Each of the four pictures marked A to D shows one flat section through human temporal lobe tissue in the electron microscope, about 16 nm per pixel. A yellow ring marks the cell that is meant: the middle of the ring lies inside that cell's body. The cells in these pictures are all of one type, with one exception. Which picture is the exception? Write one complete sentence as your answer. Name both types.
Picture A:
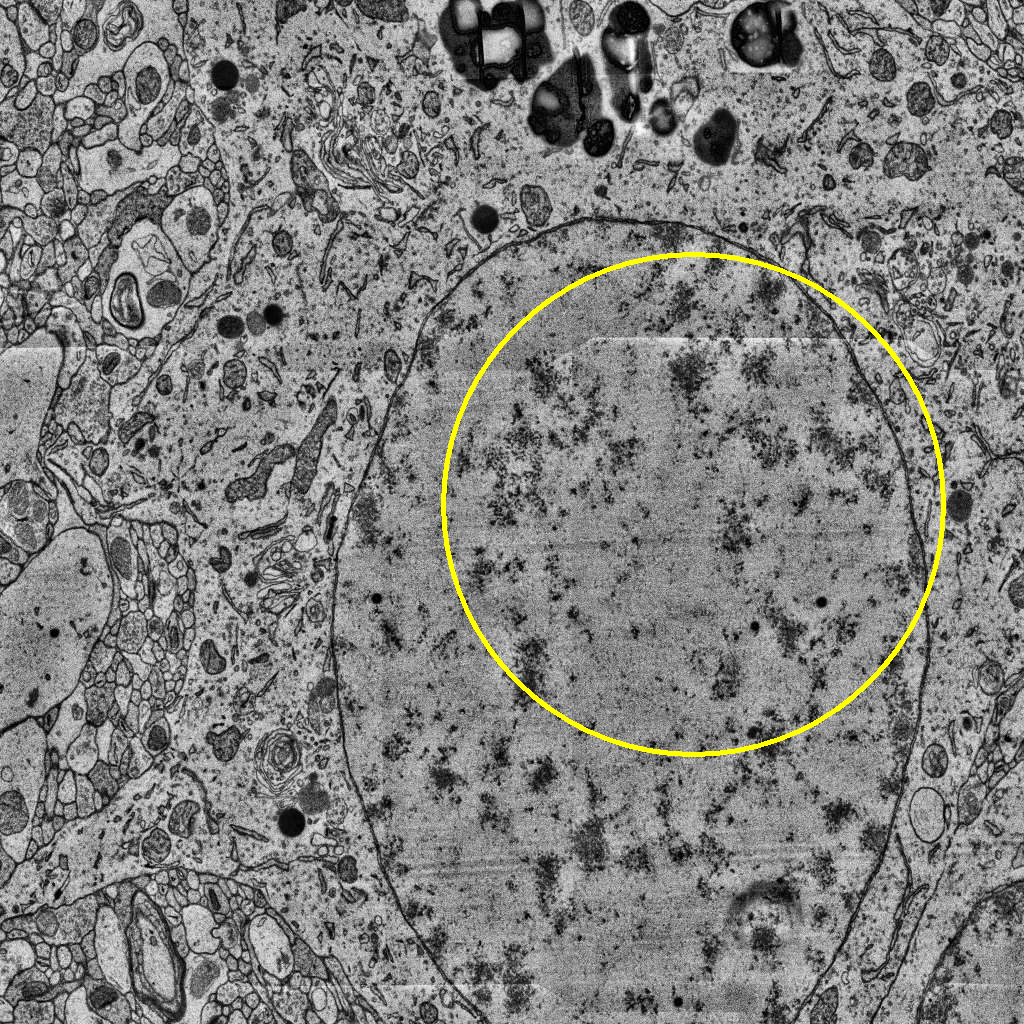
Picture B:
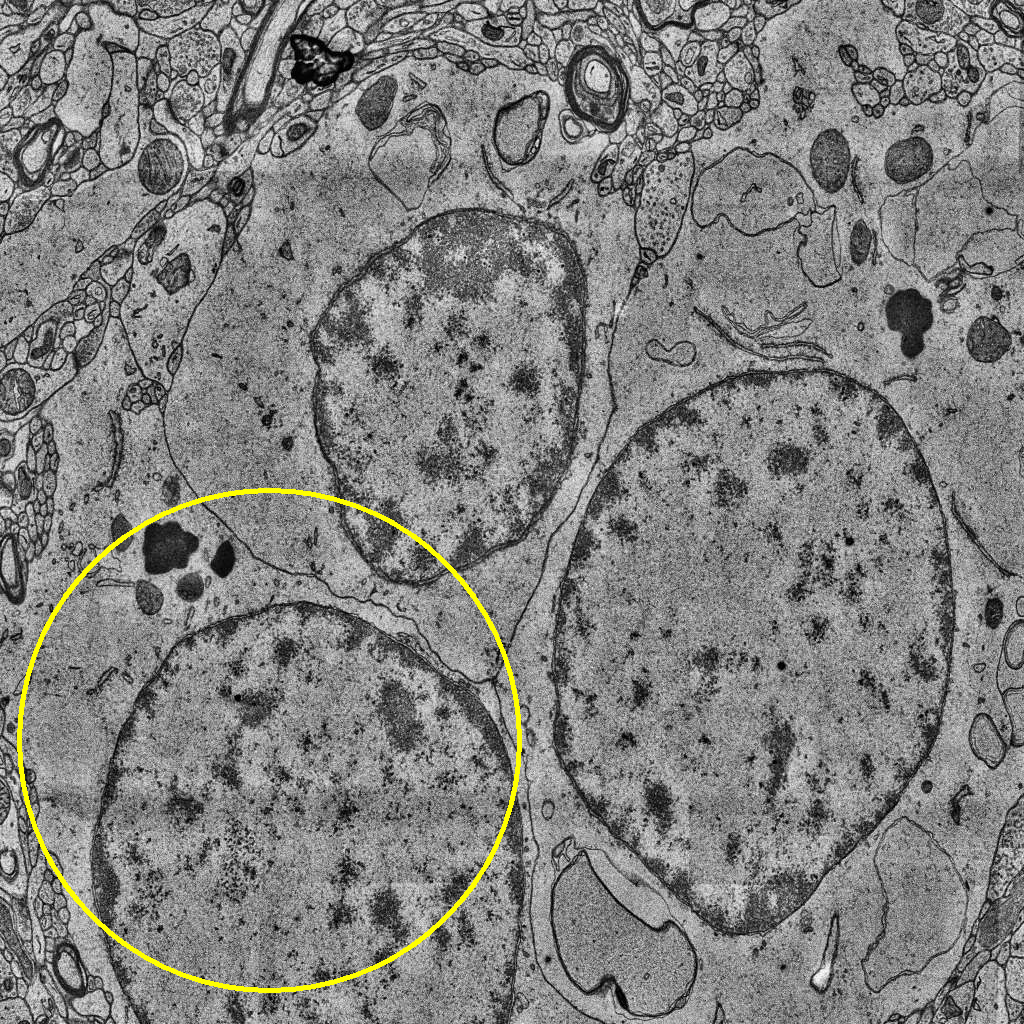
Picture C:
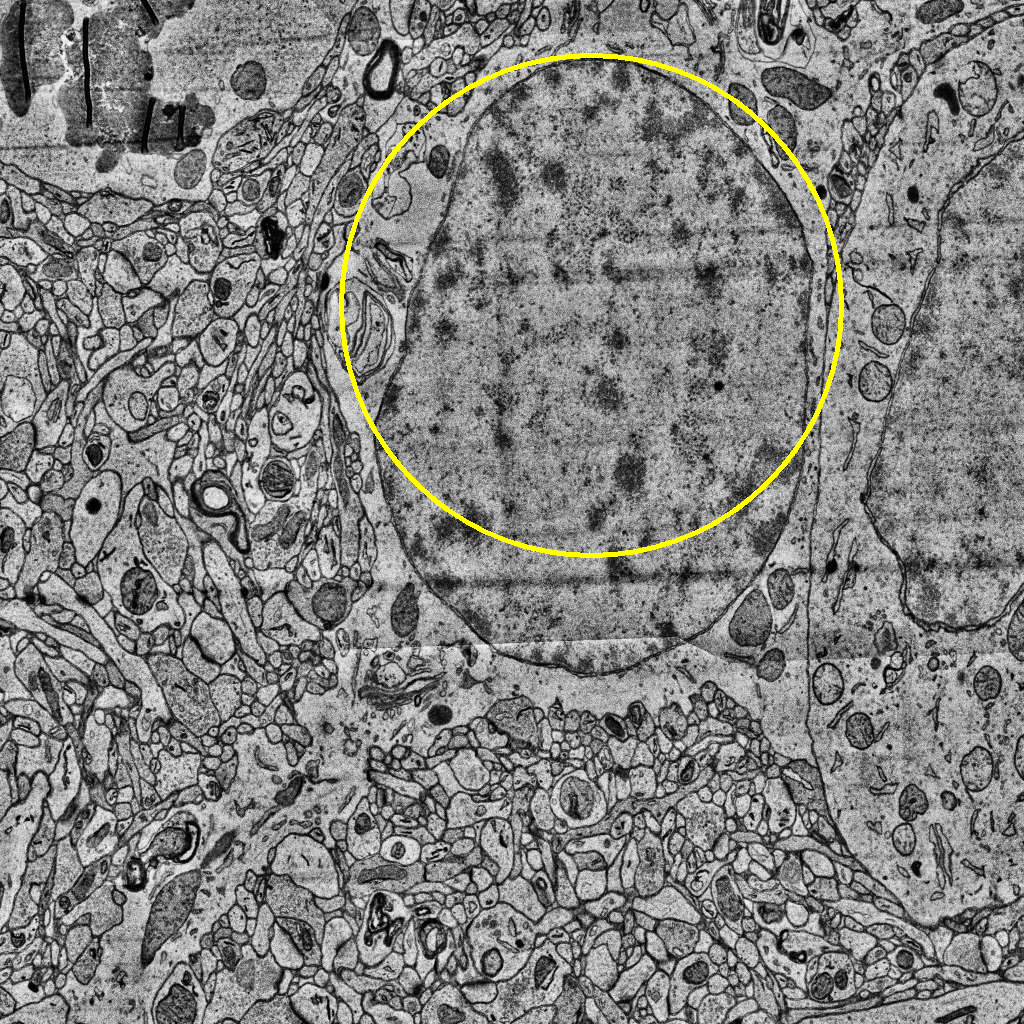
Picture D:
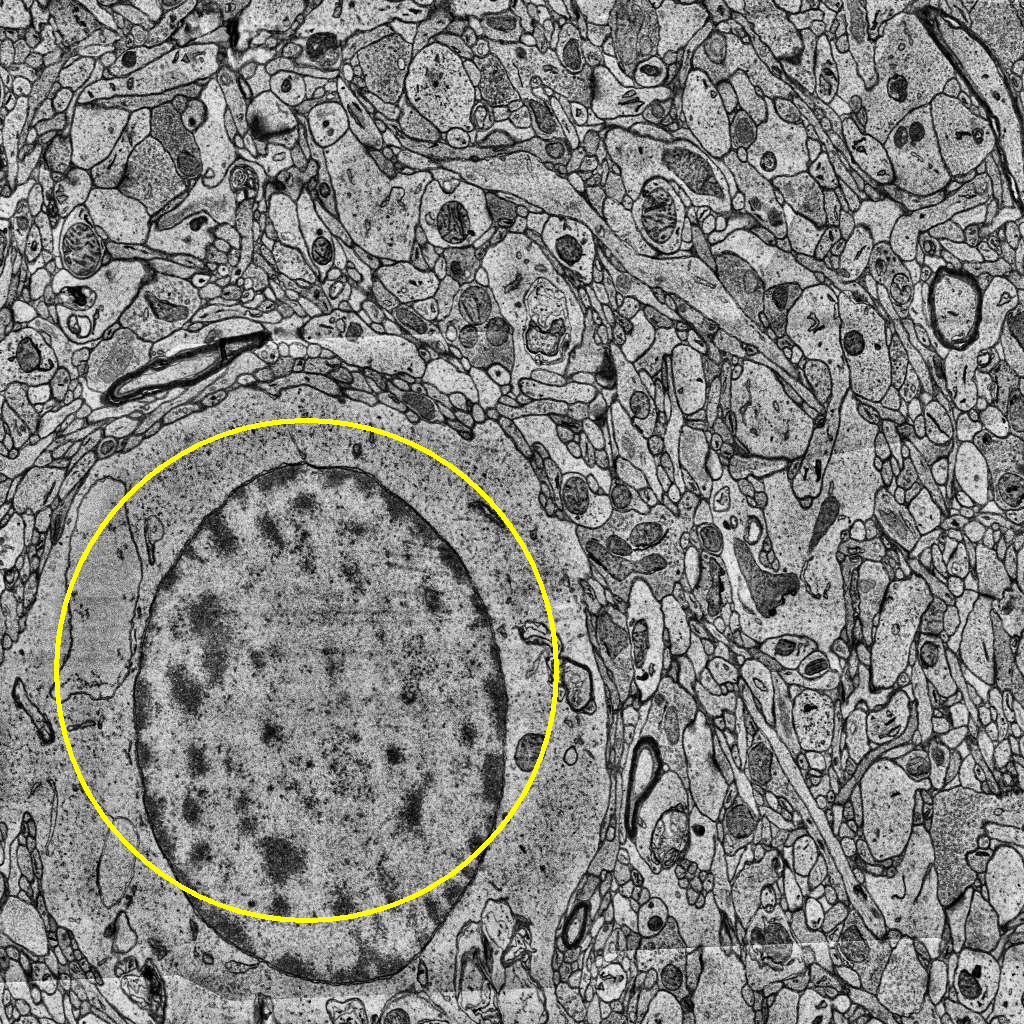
All pictures except A show astrocytes; picture A shows a pyramidal neuron.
